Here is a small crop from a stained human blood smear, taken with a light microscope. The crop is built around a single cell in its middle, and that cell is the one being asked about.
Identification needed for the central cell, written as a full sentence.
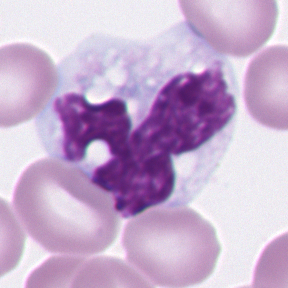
The cell in the middle of this crop is a monocyte.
